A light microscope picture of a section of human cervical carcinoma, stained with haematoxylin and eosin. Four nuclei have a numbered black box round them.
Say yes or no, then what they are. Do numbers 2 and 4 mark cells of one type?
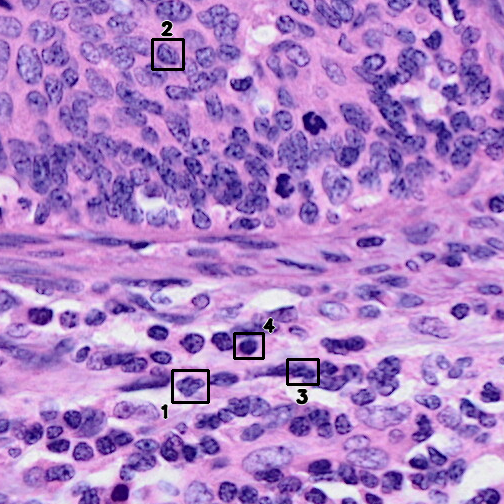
No, cell 2 here is a squamous carcinoma cell, and cell 4 here is a lymphocyte.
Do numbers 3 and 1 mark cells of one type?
Yes, the cells bearing numbers 3 and 1 are both lymphocytes.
